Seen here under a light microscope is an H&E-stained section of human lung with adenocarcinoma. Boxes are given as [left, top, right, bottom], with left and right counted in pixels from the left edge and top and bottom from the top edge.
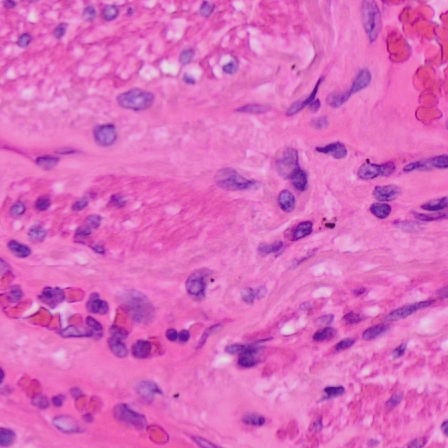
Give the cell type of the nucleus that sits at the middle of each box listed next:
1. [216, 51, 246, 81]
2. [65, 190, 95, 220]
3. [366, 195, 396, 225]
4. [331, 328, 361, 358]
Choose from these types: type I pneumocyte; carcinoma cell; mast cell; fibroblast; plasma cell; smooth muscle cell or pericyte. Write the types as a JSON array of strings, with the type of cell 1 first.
["smooth muscle cell or pericyte", "smooth muscle cell or pericyte", "mast cell", "smooth muscle cell or pericyte"]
